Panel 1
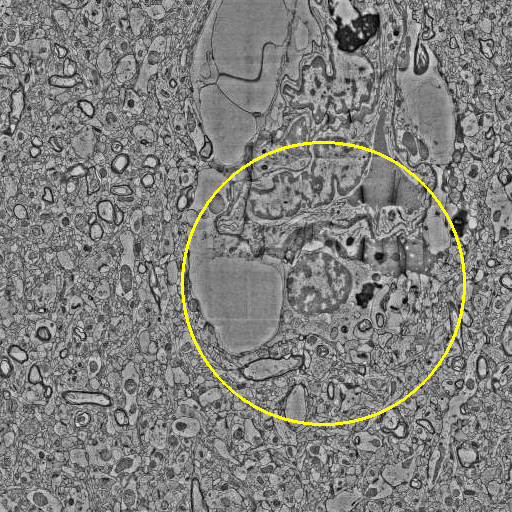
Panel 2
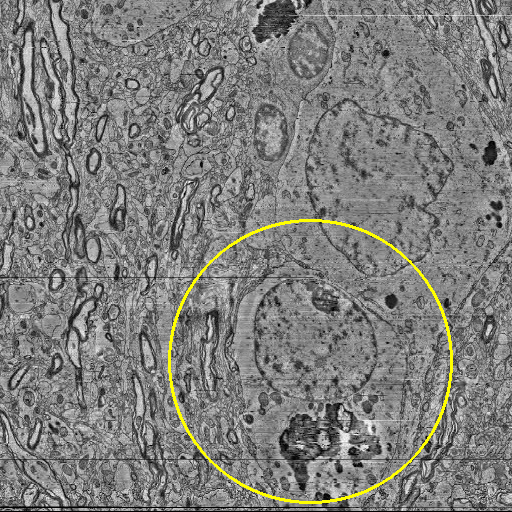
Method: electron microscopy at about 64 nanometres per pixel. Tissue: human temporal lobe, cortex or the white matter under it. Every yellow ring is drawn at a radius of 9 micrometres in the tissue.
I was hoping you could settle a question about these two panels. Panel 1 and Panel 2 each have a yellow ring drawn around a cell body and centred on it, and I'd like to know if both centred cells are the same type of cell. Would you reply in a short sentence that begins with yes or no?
No, they are two types of cell.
